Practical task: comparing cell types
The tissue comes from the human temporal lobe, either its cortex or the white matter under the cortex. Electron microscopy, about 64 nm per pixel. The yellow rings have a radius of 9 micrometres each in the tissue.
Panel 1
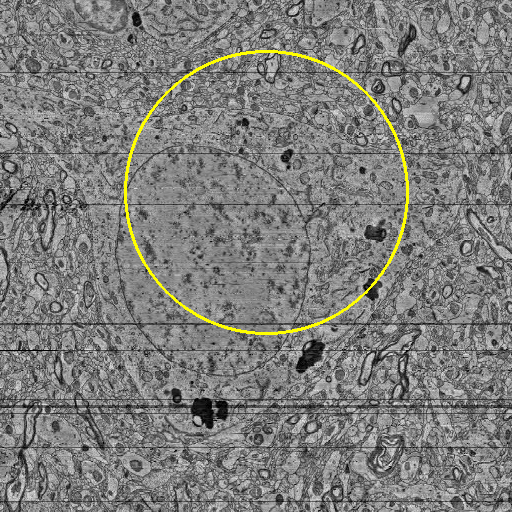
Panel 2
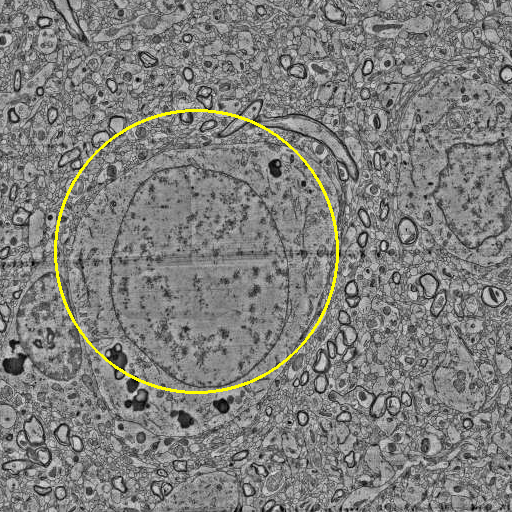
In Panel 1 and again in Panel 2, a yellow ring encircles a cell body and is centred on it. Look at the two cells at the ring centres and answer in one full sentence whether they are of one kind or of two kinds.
The two cells sitting at the ring centres of Panels 1 and 2 are of one kind.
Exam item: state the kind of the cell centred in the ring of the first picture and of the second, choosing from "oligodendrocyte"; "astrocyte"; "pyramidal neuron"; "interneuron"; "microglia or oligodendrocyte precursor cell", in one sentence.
The cell in the first picture is a pyramidal neuron, and so is the one in the second.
